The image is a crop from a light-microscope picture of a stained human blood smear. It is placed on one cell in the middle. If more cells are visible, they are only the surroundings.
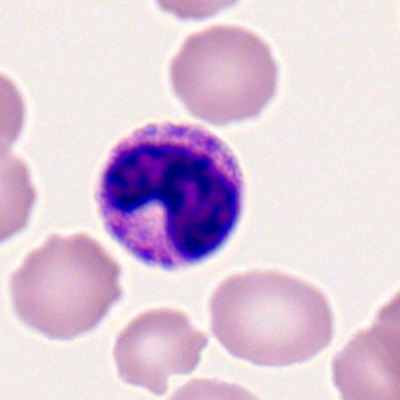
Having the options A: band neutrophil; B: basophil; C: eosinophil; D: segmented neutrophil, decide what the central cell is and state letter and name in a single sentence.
Option A is correct, naming the cell in the middle as a band neutrophil.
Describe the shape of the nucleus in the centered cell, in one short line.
A single compact nucleus, round, oval or kidney-shaped, is what this cell shows.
